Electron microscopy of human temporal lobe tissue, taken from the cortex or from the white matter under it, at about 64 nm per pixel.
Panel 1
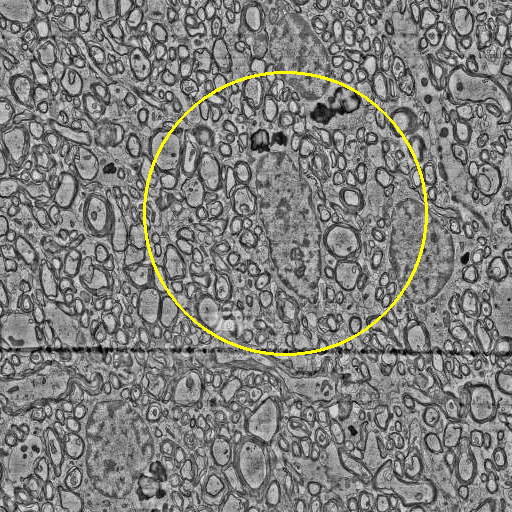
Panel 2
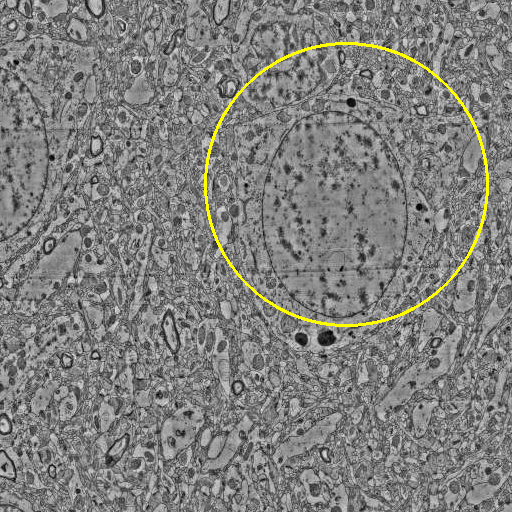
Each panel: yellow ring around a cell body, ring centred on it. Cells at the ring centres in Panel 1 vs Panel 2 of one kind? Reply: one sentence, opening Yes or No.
No, Panel 1 and Panel 2 have cells of two kinds at the ring centres.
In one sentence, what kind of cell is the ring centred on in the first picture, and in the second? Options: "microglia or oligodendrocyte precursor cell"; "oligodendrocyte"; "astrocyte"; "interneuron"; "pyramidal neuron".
The cell at the centre of the second ring is a pyramidal neuron; the first ring's cell is an oligodendrocyte.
